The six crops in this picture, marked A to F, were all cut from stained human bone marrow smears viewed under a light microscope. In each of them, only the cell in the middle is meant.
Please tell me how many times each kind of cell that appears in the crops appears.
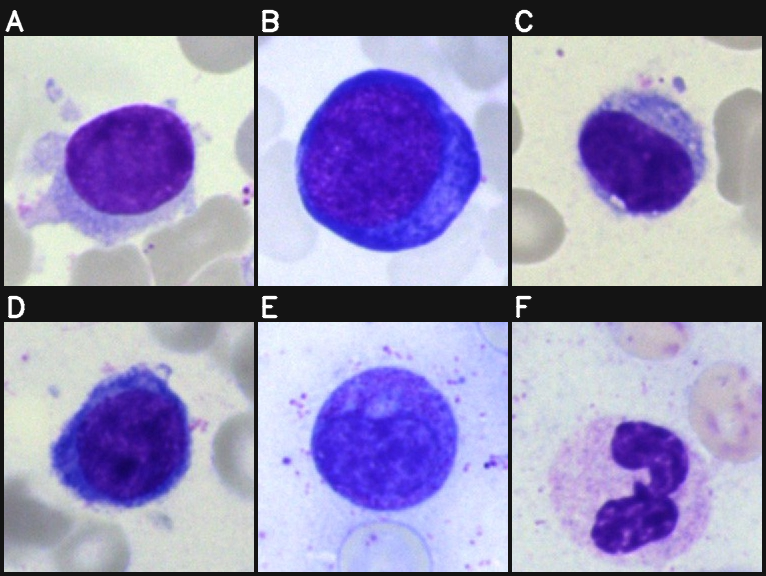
hairy cell: 2
proerythroblast: 2
metamyelocyte: 1
segmented neutrophil: 1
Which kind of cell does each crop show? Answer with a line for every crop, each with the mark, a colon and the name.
A: hairy cell
B: proerythroblast
C: hairy cell
D: proerythroblast
E: metamyelocyte
F: segmented neutrophil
